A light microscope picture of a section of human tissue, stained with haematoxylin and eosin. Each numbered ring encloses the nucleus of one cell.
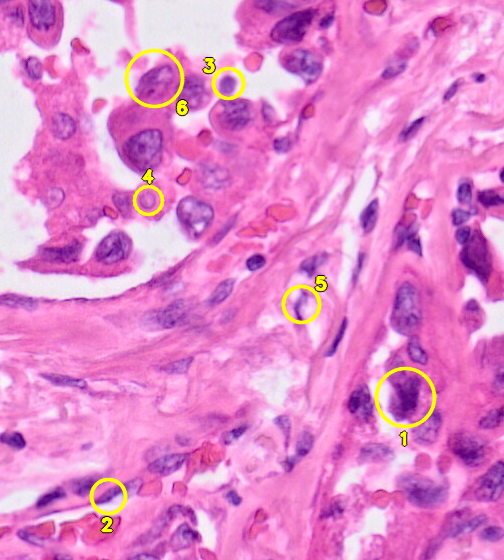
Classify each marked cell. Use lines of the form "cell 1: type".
cell 1: carcinoma cell
cell 2: endothelial cell
cell 3: lymphocyte
cell 4: macrophage or monocyte
cell 5: fibroblast
cell 6: carcinoma cell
